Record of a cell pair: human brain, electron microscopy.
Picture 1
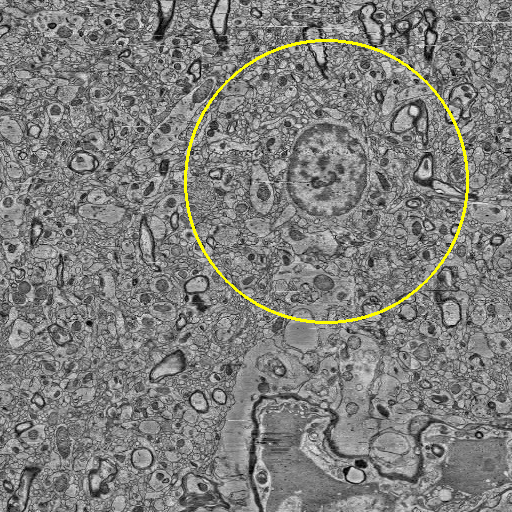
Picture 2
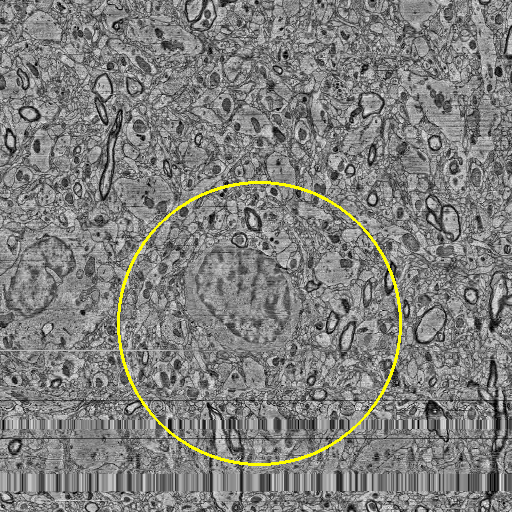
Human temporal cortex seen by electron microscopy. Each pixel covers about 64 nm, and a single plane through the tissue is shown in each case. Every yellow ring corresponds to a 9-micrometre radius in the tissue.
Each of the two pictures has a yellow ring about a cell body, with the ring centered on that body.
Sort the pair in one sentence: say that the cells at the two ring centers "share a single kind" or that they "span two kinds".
The cells centered in the rings of Pictures 1 and 2 share a single kind.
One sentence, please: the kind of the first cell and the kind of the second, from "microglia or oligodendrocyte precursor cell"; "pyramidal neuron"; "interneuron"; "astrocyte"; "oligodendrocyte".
In both pictures the ring is centred on an oligodendrocyte.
